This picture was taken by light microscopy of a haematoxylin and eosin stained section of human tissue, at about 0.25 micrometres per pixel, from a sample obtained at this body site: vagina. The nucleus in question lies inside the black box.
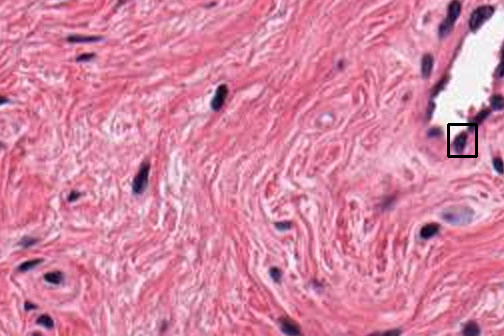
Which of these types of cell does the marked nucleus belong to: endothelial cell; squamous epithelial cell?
endothelial cell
